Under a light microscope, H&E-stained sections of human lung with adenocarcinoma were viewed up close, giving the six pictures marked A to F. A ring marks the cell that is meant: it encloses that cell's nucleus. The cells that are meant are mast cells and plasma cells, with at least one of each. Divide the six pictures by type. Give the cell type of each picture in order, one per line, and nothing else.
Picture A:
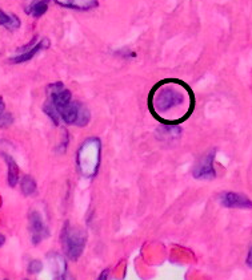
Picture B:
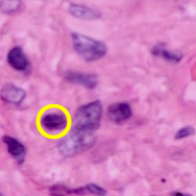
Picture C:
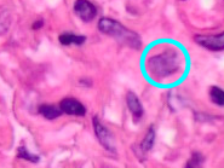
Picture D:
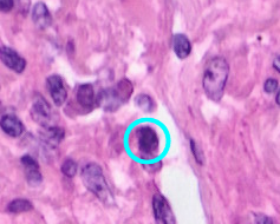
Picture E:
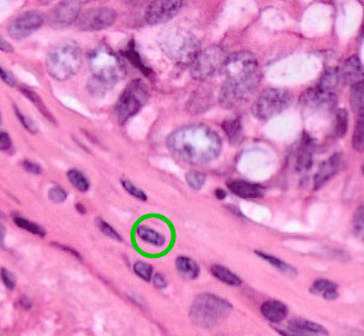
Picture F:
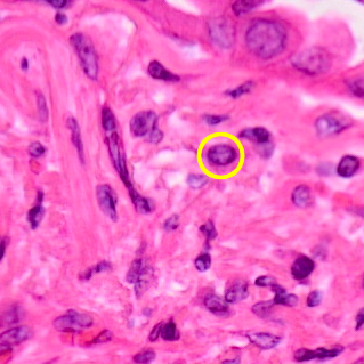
mast cell
plasma cell
mast cell
plasma cell
mast cell
plasma cell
